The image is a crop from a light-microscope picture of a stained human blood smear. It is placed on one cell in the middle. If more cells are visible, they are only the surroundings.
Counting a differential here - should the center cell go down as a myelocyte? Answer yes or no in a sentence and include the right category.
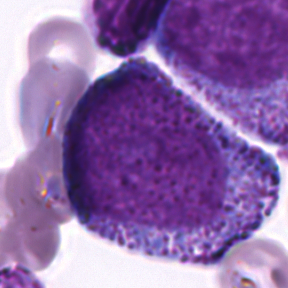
No, the central cell is counted as a promyelocyte instead of a myelocyte.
